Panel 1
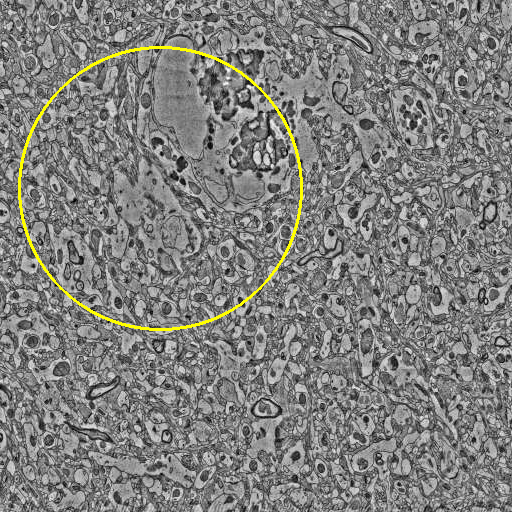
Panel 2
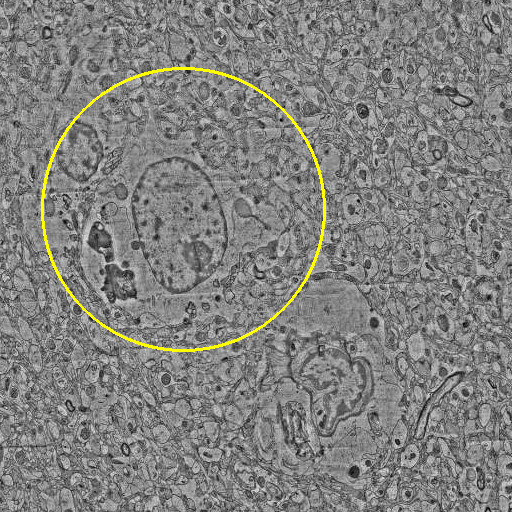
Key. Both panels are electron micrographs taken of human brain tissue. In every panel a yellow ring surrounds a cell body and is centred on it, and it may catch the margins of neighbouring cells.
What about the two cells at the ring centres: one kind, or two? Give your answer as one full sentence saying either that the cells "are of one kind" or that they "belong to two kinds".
Across Panels 1 and 2, the two cells at the ring centres are of one kind.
